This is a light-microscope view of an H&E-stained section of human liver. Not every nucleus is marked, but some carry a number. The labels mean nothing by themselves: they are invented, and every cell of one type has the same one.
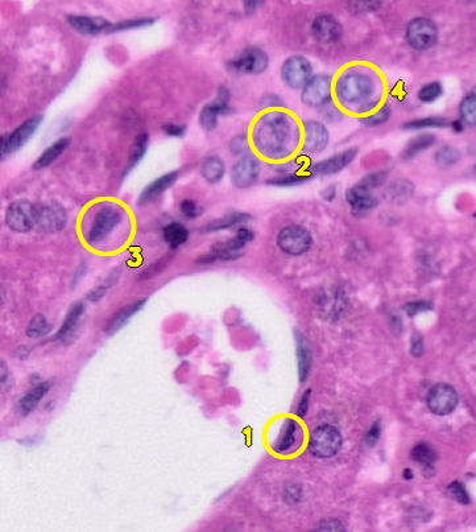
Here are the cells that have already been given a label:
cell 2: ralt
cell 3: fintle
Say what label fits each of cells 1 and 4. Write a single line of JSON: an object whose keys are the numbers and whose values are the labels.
{"1": "fintle", "4": "ralt"}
